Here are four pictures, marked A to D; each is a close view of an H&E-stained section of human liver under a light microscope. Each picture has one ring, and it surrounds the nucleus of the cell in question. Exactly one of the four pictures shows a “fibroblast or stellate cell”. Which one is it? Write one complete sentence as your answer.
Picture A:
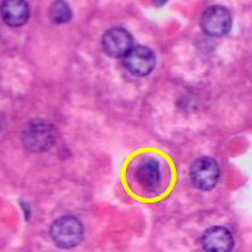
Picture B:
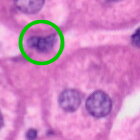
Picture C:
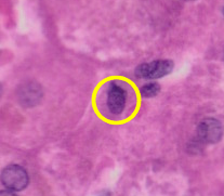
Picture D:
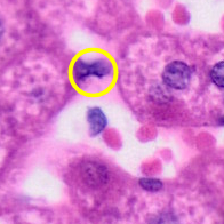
The “fibroblast or stellate cell” is the one in picture B.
